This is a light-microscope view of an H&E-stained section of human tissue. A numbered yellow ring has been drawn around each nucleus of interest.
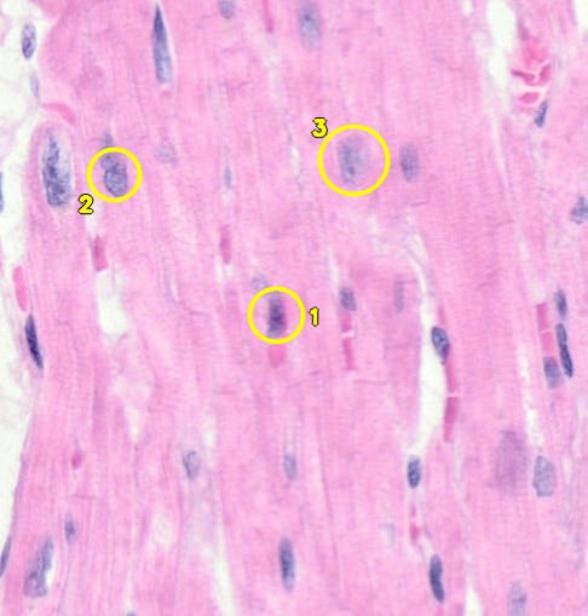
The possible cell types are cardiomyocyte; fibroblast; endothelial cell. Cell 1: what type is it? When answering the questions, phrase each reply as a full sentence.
In this section, the cell tagged 1 is an endothelial cell.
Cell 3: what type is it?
The nucleus labelled 3 belongs to a cardiomyocyte.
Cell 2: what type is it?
The cell identified by number 2 is a cardiomyocyte.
